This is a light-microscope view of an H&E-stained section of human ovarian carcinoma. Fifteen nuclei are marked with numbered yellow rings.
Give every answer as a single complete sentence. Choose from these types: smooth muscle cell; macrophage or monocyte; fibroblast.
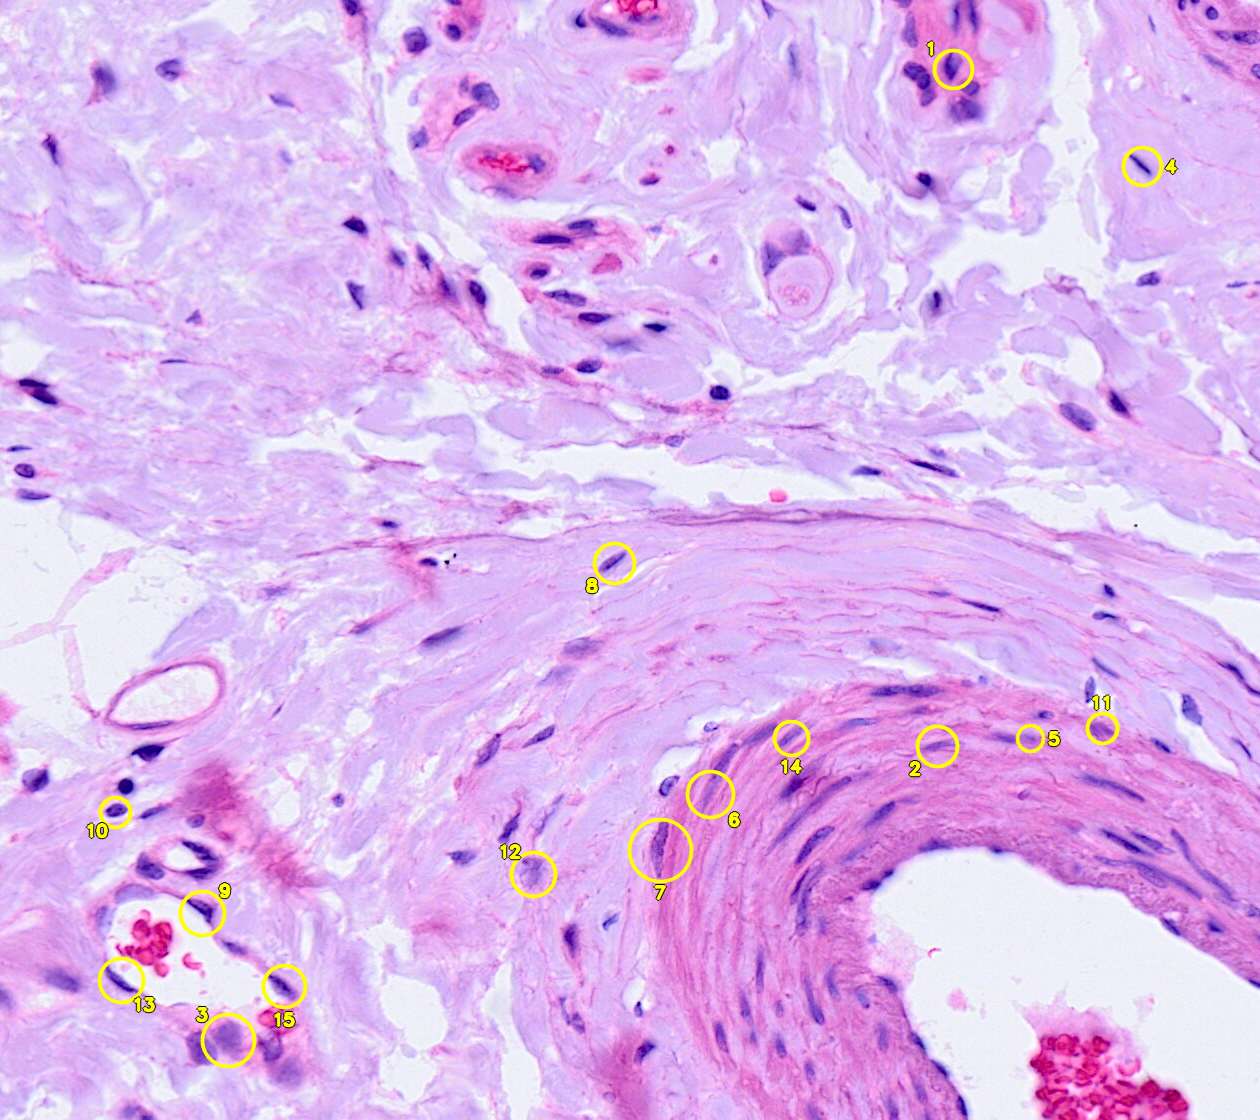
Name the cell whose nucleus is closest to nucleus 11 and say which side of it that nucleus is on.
A macrophage or monocyte lies closest, above nucleus 11.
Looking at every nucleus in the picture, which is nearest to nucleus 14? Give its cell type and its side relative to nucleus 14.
Just to the left of nucleus 14 lies the nearest nucleus, which belongs to a smooth muscle cell.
